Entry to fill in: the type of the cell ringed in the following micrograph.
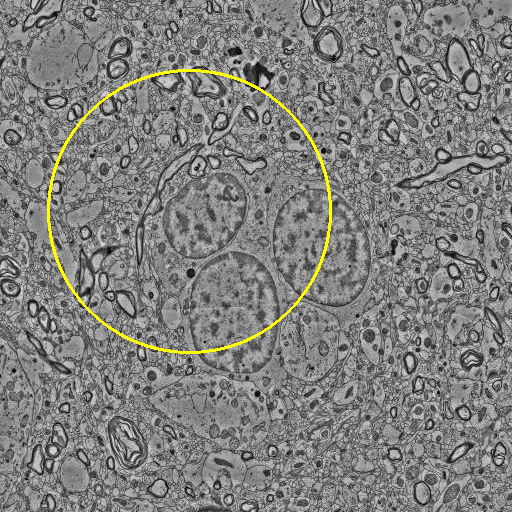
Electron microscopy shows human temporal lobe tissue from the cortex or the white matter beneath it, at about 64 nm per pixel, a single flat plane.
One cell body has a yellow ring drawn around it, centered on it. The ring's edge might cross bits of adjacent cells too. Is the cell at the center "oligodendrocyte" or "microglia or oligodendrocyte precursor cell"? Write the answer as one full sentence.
This entry names an oligodendrocyte as the cell whose body lies at the ring's center.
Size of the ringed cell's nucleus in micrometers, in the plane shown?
Approximately 6 x 5 micrometres in this plane.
